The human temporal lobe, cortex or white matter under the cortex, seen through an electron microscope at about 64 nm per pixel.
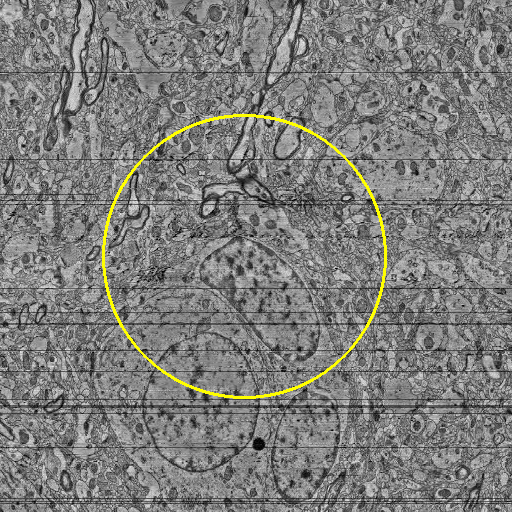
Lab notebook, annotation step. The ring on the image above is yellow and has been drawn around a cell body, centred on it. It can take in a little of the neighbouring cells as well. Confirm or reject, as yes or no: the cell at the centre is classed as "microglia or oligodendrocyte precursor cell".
Yes, confirmed for that class.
